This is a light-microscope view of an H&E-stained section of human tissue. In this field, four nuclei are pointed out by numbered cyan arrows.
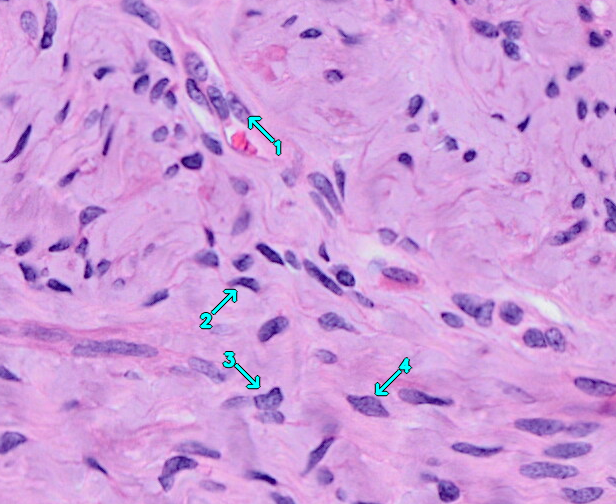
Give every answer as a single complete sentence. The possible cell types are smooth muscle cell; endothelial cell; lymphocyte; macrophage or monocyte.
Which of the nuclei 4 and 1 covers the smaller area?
The smaller nucleus is 1, and 4 covers roughly 1.5 times its area.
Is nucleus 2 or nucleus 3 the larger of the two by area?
At about 1.5 times the area of nucleus 2, nucleus 3 is the larger of the two.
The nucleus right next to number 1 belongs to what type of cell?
Closest to number 1 lies the nucleus of an endothelial cell.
